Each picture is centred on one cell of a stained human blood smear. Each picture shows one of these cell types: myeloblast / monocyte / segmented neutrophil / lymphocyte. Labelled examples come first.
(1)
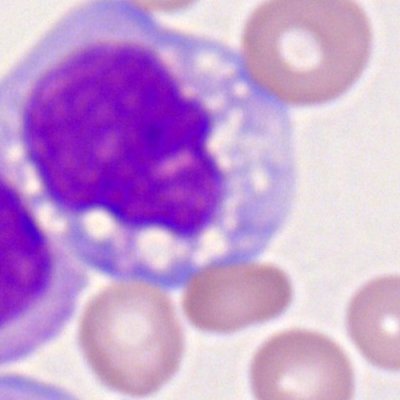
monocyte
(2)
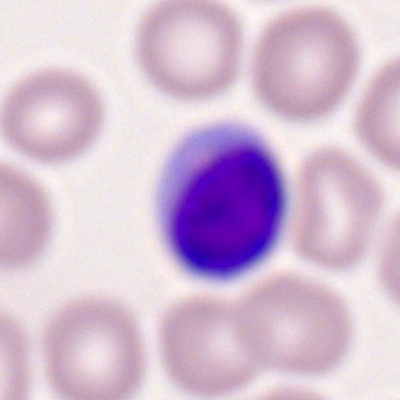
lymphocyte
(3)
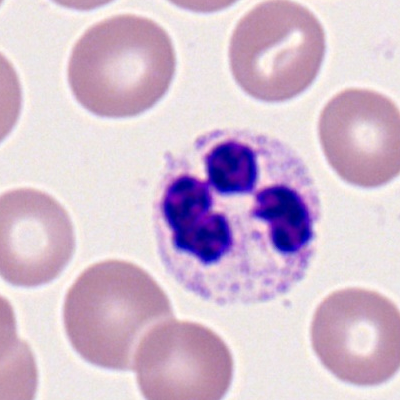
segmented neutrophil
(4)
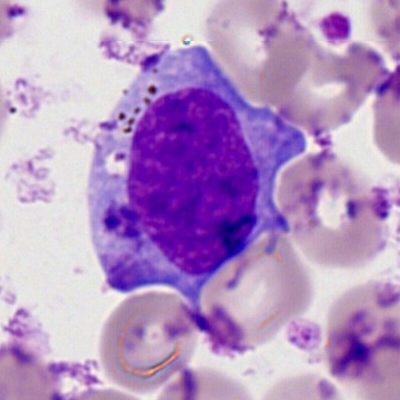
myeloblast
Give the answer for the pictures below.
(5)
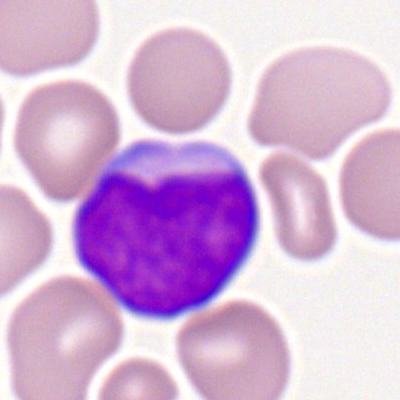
myeloblast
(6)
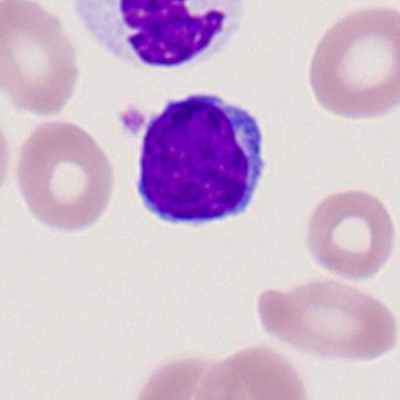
lymphocyte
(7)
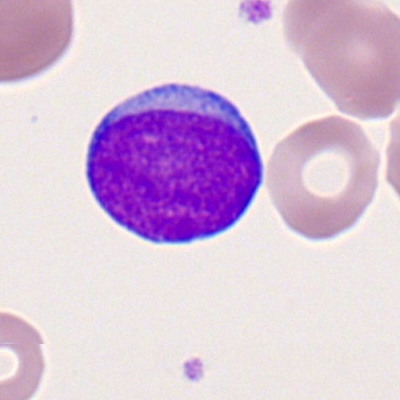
myeloblast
